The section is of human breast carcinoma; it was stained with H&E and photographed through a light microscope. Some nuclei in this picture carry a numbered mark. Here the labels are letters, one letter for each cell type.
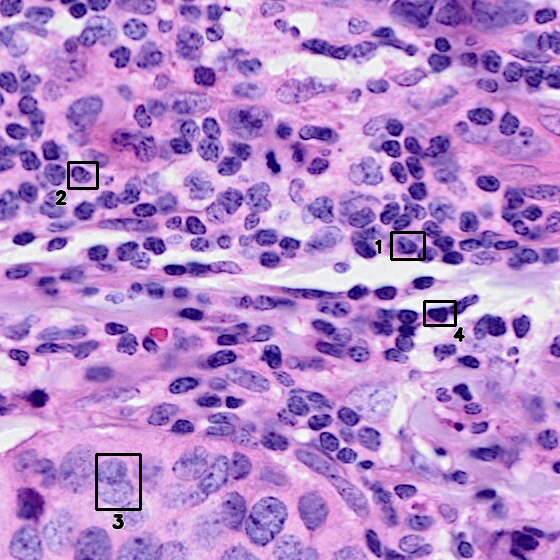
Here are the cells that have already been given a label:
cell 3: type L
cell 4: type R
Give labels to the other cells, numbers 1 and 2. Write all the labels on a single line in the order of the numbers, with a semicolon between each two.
type R; type R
